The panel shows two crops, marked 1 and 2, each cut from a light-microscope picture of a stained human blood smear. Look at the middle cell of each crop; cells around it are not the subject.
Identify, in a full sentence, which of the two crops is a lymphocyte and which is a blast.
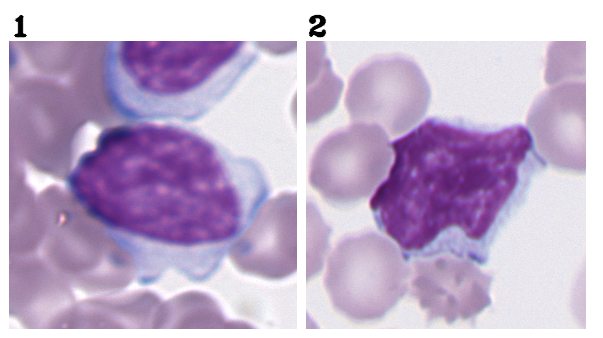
For crop 1 the cell is a blast, and for crop 2 it is a lymphocyte.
